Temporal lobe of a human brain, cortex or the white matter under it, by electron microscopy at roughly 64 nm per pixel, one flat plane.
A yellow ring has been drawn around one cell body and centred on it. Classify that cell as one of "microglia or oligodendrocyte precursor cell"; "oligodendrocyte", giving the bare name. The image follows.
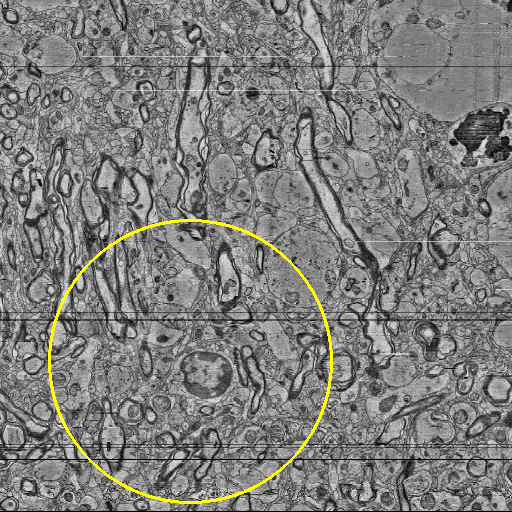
microglia or oligodendrocyte precursor cell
